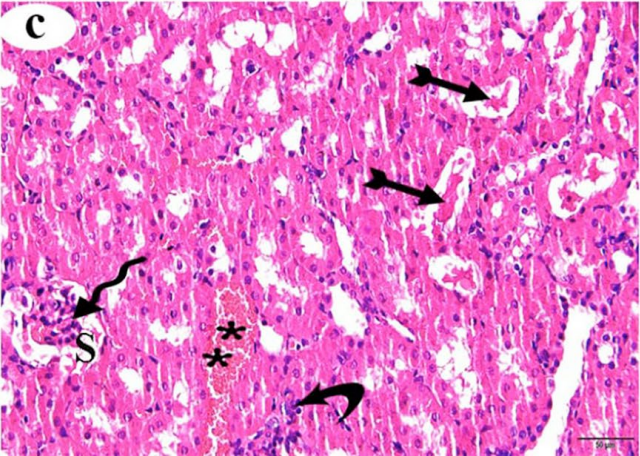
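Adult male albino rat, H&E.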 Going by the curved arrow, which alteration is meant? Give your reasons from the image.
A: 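The curved arrow points to a small cluster of densely packed dark round nuclei between tubules. So: inflammatory cell infiltration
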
